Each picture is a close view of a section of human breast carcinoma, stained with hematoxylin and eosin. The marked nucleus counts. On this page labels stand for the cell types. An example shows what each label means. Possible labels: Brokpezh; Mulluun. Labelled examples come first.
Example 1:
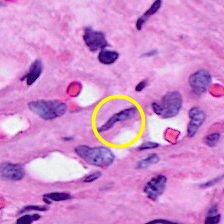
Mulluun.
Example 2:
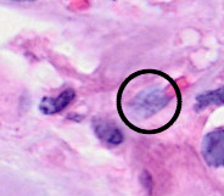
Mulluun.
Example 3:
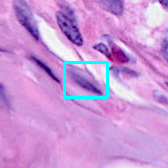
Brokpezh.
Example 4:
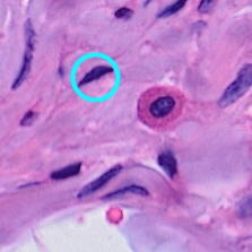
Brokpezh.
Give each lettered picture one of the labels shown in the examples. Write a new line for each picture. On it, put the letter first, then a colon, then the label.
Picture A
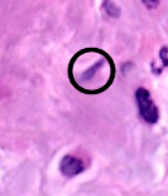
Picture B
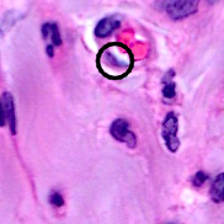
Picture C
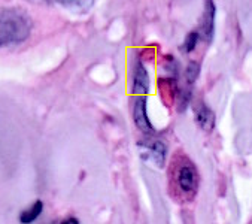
A: Brokpezh.
B: Mulluun.
C: Mulluun.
